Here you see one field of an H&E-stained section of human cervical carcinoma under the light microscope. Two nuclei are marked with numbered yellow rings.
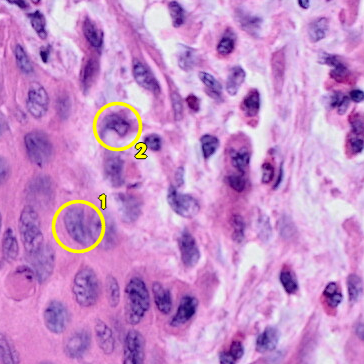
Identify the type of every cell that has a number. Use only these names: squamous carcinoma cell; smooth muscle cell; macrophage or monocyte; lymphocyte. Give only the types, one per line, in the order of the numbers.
squamous carcinoma cell
macrophage or monocyte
